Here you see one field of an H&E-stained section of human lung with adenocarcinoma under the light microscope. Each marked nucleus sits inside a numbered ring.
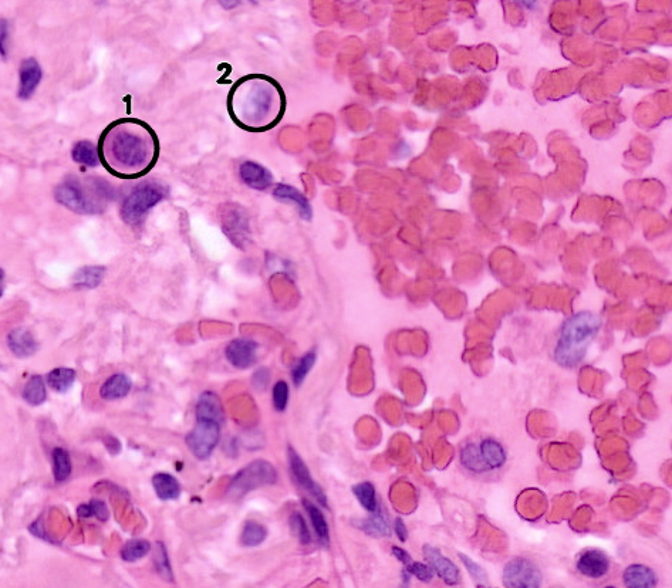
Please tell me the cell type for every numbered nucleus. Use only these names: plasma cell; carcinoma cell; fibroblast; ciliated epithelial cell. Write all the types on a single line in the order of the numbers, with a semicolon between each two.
plasma cell; fibroblast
